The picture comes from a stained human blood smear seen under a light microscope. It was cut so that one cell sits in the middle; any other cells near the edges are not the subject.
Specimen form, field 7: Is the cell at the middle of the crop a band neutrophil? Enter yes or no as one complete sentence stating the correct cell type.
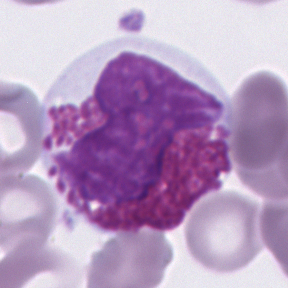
No, the cell under consideration is an eosinophil instead of a band neutrophil.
